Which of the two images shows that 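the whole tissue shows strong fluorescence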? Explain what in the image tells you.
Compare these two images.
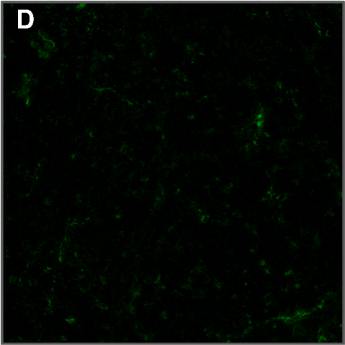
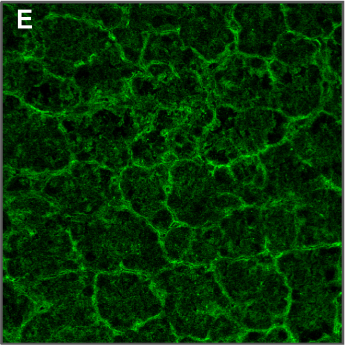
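Second image: bright green outlines and granular green fill cover the whole field. First image: the field is almost black with only a few faint green specks. That points to this answer: the second image.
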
